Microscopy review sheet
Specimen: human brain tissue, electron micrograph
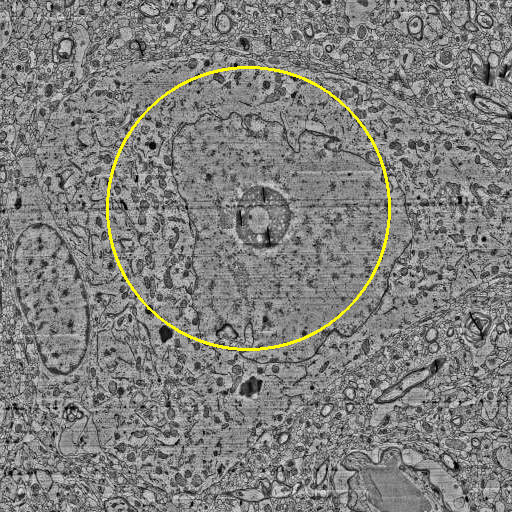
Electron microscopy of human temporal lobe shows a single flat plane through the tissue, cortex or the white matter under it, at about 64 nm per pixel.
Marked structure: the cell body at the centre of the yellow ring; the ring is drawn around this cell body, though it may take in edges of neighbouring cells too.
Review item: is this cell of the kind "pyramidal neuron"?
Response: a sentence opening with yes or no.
Yes, this cell is of that kind.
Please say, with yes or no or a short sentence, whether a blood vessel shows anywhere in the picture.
No, no vessel shows anywhere in the image.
